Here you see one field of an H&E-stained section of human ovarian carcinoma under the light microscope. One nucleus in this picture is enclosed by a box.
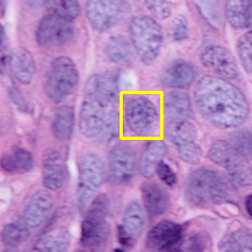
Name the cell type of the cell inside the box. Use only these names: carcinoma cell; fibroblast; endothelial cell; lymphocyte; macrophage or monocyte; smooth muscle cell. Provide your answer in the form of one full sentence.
It is as a carcinoma cell that the cell inside the box is recorded.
